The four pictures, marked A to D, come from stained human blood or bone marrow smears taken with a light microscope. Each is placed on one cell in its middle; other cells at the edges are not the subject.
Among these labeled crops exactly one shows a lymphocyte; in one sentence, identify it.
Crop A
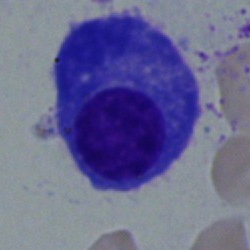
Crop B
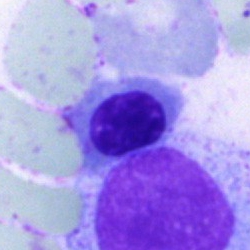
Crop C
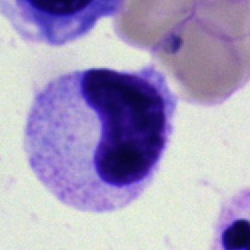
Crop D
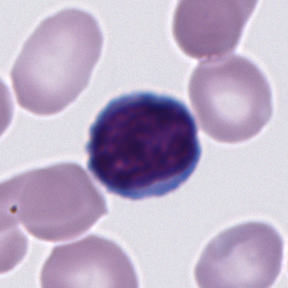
The crop bearing a lymphocyte is crop D.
